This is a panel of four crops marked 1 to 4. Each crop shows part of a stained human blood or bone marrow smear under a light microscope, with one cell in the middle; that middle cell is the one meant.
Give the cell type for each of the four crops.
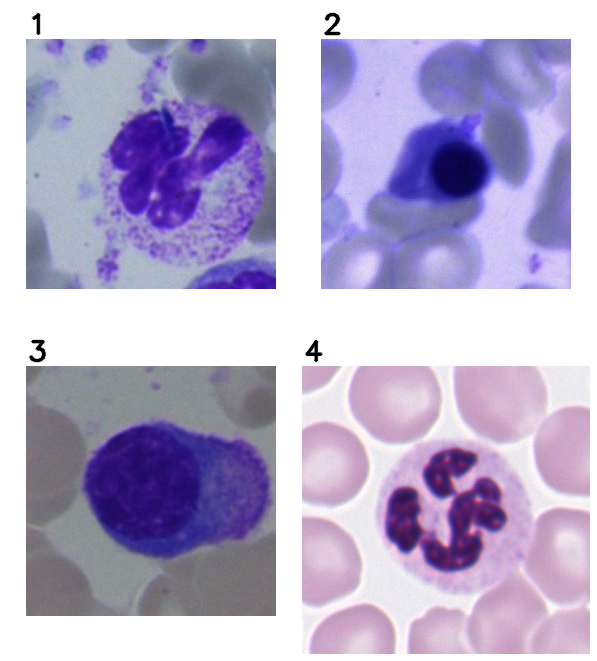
1: segmented neutrophil
2: erythroblast
3: plasma cell
4: segmented neutrophil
